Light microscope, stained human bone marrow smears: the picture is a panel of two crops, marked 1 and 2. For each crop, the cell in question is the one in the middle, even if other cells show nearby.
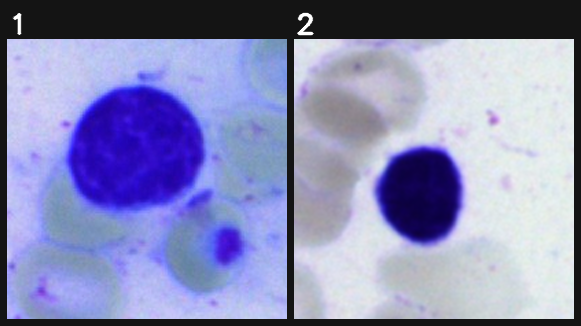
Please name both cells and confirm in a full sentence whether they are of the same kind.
Yes, in both of the crops, the central cells are lymphocytes.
